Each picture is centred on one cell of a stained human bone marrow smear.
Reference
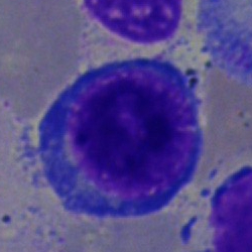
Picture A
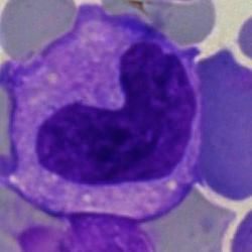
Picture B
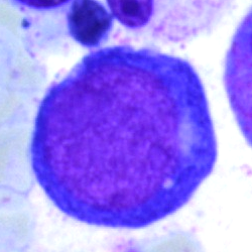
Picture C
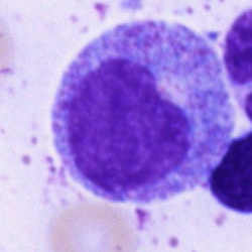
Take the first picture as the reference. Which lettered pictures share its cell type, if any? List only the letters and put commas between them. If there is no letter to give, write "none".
B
